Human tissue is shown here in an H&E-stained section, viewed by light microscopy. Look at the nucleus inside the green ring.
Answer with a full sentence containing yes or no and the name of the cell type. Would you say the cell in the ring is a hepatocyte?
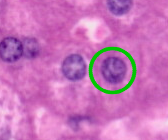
Yes, it holds that the cell in the ring is a hepatocyte.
